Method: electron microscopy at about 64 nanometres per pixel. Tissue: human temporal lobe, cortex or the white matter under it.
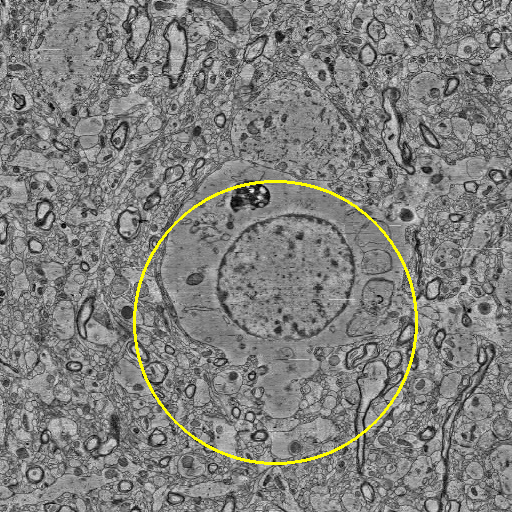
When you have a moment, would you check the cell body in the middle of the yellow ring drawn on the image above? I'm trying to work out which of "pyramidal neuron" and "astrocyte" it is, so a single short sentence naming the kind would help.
This cell body belongs to an astrocyte.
